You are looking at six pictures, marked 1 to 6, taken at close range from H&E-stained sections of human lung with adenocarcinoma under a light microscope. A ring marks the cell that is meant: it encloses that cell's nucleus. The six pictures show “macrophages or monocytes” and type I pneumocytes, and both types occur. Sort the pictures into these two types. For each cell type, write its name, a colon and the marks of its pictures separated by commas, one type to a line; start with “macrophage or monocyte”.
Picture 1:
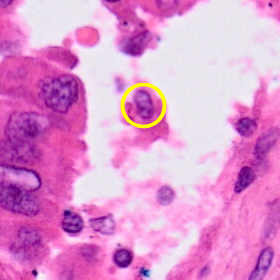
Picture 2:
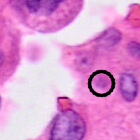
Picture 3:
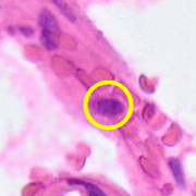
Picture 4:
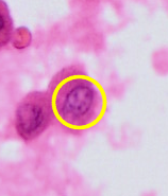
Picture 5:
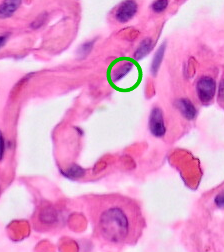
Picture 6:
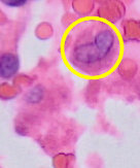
macrophage or monocyte: 1, 2, 4, 6
type I pneumocyte: 3, 5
